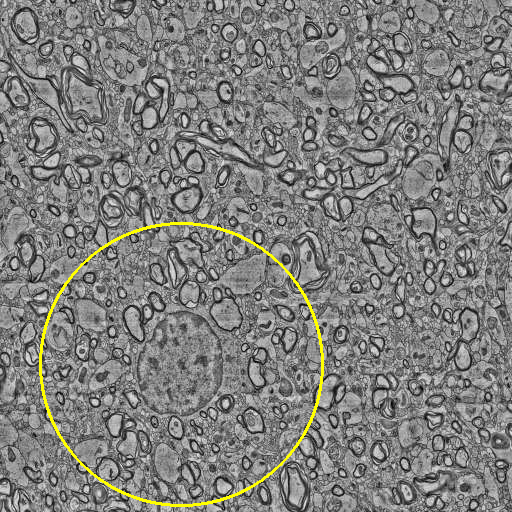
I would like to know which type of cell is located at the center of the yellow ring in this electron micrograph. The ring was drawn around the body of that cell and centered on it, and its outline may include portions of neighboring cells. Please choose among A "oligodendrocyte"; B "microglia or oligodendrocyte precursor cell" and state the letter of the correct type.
A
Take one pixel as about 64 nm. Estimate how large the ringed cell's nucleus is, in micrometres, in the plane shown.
Approximately 7 x 5 micrometres in this plane.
